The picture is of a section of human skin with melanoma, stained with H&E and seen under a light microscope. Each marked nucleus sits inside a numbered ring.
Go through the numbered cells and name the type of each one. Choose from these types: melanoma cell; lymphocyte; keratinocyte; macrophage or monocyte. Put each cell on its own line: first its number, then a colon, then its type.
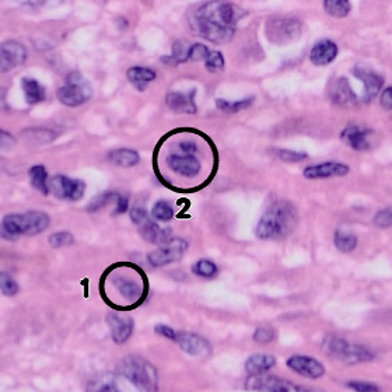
1: macrophage or monocyte
2: lymphocyte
